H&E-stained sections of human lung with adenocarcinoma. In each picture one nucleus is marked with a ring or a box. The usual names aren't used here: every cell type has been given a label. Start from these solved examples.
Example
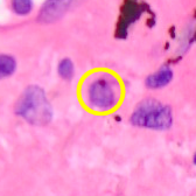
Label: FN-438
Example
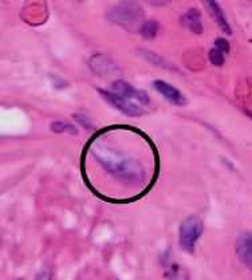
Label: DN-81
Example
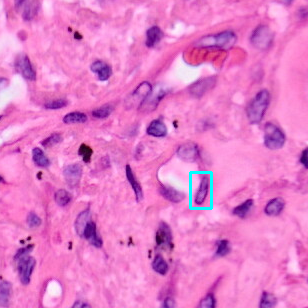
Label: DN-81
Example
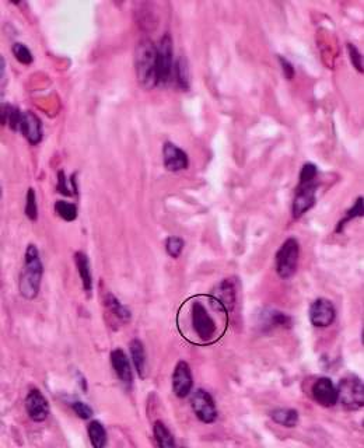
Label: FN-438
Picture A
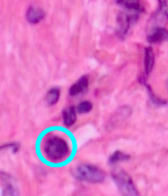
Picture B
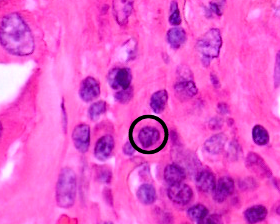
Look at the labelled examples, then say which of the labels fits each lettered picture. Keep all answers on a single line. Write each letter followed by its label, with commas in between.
A FN-438, B FN-438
